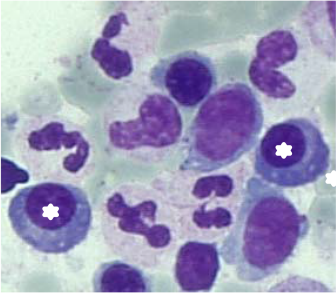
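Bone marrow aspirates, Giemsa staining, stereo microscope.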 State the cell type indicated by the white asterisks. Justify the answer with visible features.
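Two marked cells have blue cytoplasm and an eccentric round nucleus. They lie among cells with lobed nuclei and pinkish granular cytoplasm. So: plasma cells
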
